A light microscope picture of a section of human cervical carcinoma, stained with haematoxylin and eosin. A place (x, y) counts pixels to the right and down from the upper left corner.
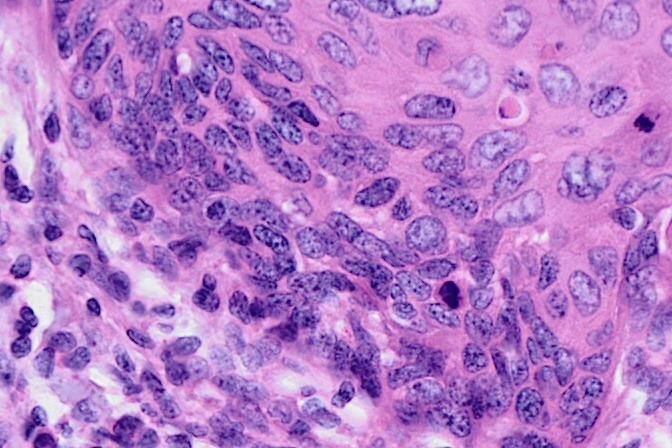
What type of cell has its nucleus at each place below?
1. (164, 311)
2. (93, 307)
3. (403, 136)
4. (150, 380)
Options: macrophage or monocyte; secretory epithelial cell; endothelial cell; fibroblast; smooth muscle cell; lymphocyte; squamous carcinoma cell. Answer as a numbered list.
1. lymphocyte
2. lymphocyte
3. squamous carcinoma cell
4. lymphocyte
